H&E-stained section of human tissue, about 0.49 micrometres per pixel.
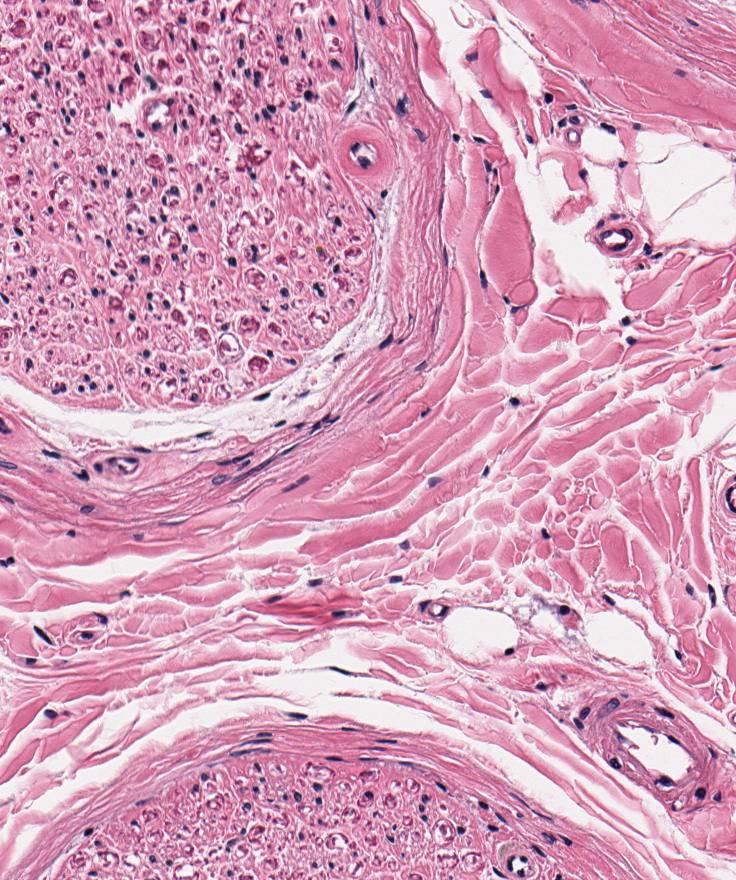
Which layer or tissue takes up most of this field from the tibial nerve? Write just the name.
epineurium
